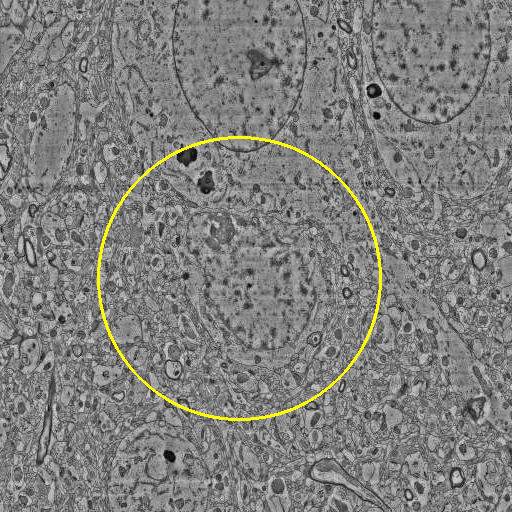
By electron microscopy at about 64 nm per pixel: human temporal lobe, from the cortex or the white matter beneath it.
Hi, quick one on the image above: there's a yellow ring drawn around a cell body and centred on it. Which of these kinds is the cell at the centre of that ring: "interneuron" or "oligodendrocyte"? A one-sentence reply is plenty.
The cell at the centre of the ring is an interneuron.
